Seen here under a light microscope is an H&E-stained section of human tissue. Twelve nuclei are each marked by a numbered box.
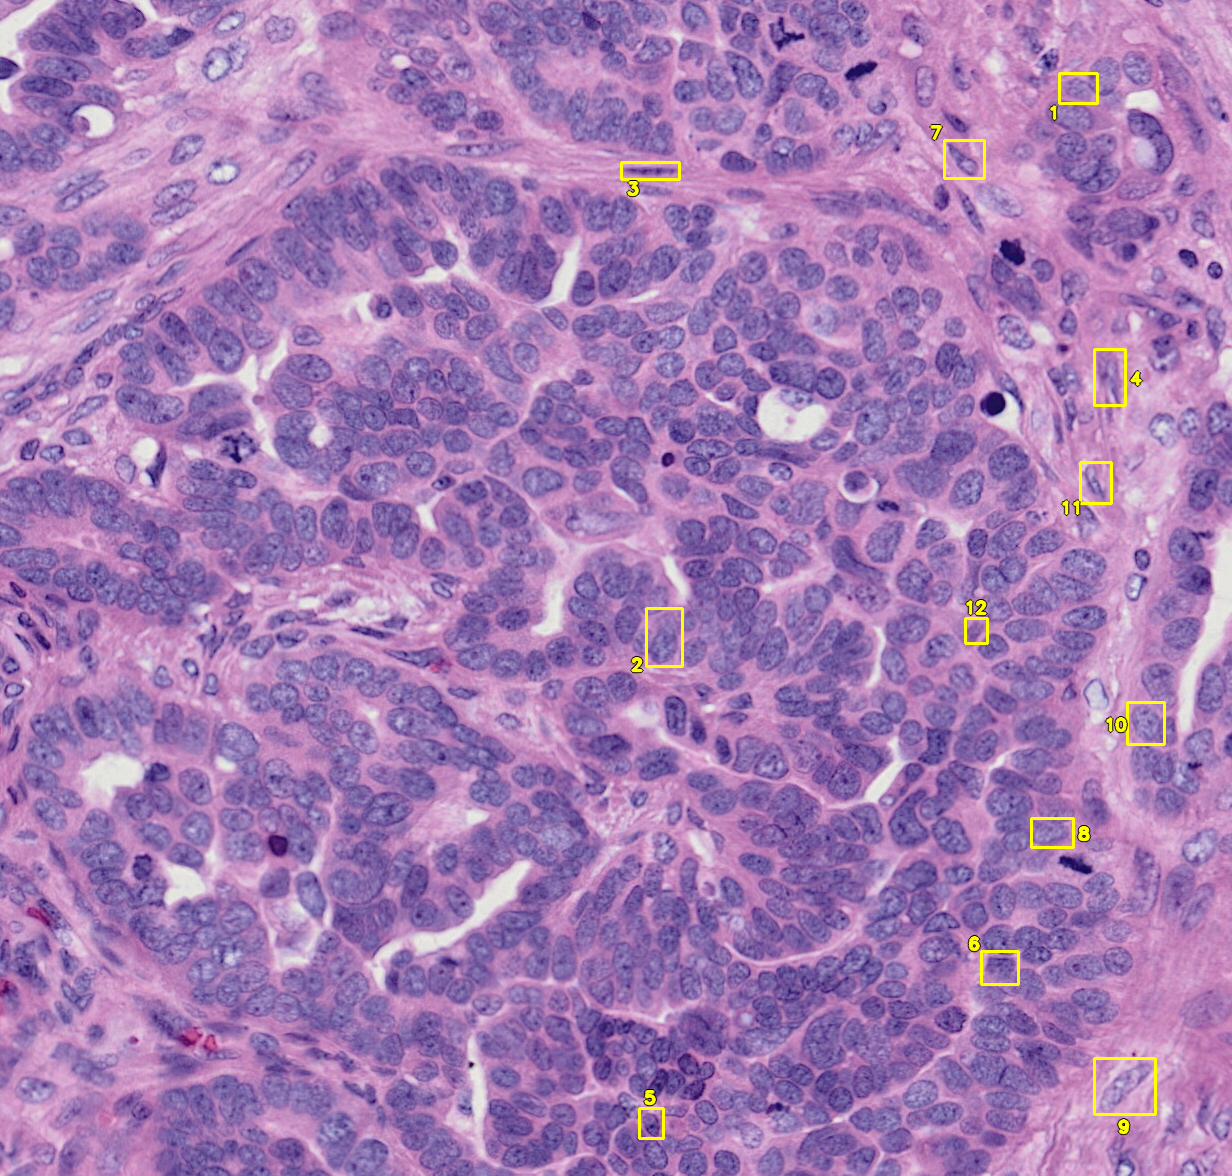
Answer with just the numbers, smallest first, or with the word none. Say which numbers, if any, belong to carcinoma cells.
1, 2, 5, 6, 8, 10, 12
